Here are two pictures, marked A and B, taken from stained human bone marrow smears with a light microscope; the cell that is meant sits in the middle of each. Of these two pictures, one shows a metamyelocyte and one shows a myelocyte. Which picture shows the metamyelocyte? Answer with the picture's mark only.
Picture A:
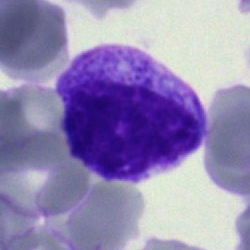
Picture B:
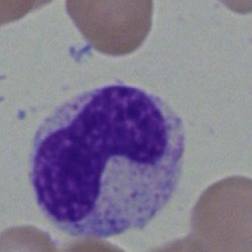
B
